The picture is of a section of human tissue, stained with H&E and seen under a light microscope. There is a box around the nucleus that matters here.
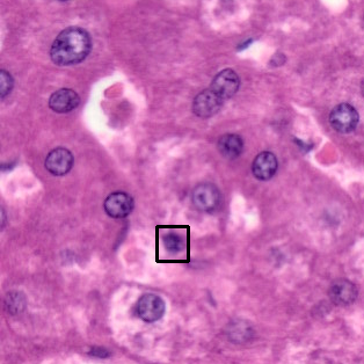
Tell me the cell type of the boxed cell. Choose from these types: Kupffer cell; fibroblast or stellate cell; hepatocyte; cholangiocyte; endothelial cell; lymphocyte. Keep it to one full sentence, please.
For the purposes of cell typing, the boxed cell is categorized as a fibroblast or stellate cell.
